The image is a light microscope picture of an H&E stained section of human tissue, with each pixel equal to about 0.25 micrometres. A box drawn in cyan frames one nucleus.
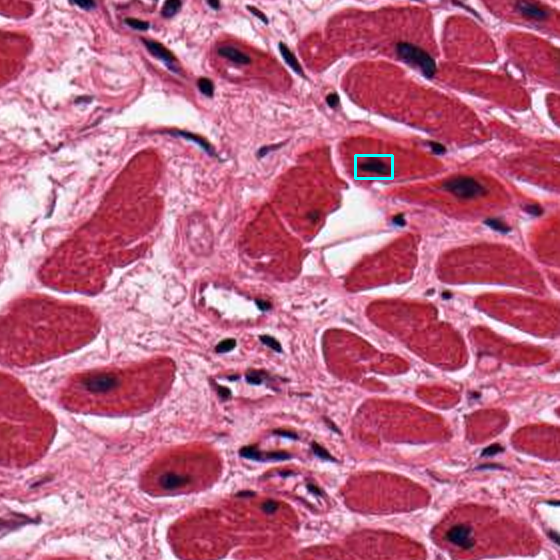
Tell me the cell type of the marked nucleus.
cardiomyocyte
